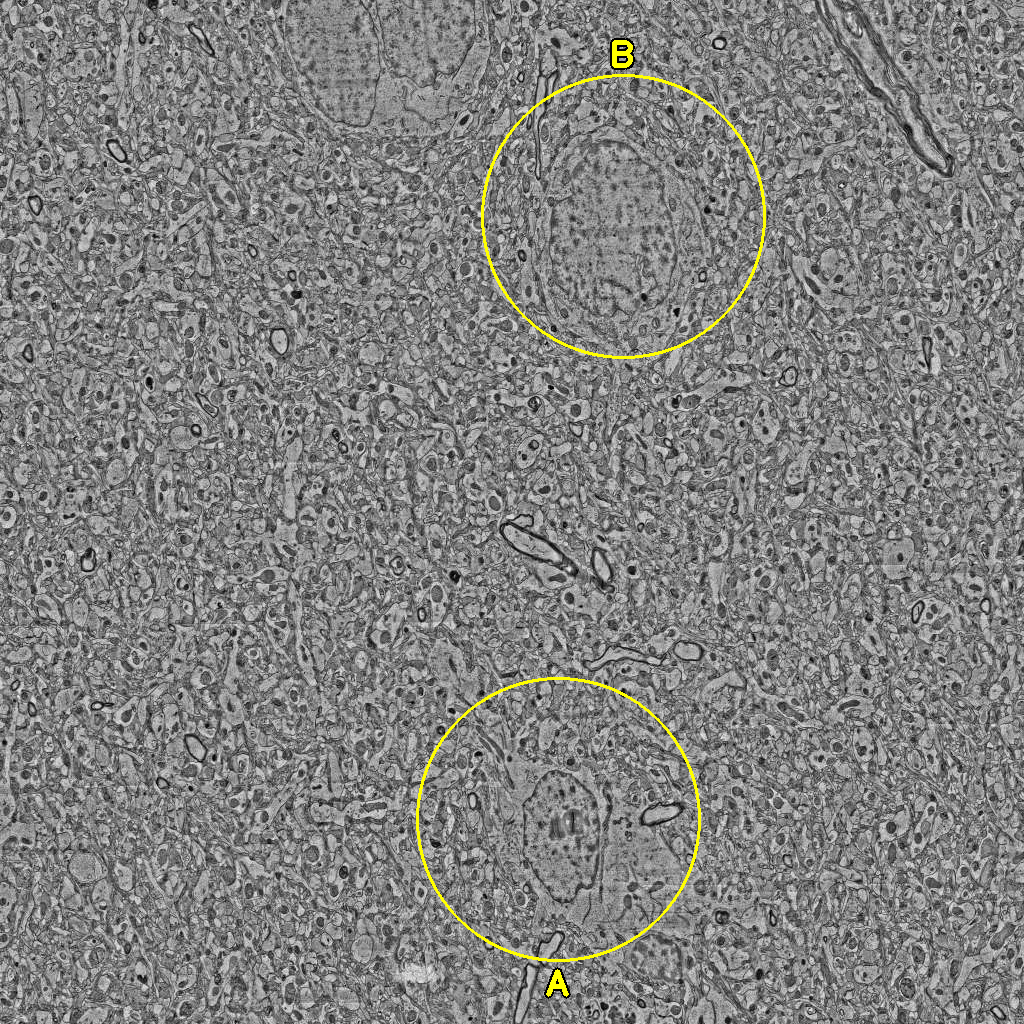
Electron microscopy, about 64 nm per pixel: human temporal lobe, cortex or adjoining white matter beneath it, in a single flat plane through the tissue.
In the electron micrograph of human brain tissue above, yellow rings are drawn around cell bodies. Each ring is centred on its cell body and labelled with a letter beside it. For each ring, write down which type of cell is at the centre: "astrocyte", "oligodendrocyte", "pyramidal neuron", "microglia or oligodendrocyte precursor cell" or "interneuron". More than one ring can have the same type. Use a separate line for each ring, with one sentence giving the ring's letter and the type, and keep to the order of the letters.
At the centre of ring A there is an astrocyte.
At the centre of ring B there is an interneuron.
